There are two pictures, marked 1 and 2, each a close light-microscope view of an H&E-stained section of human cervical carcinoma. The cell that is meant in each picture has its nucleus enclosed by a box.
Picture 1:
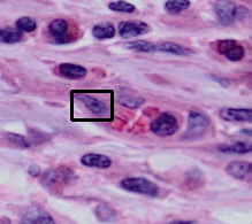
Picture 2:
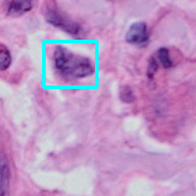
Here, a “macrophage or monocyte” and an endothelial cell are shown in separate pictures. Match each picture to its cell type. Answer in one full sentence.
In picture 1 the cell is an endothelial cell; in picture 2, a “macrophage or monocyte”.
